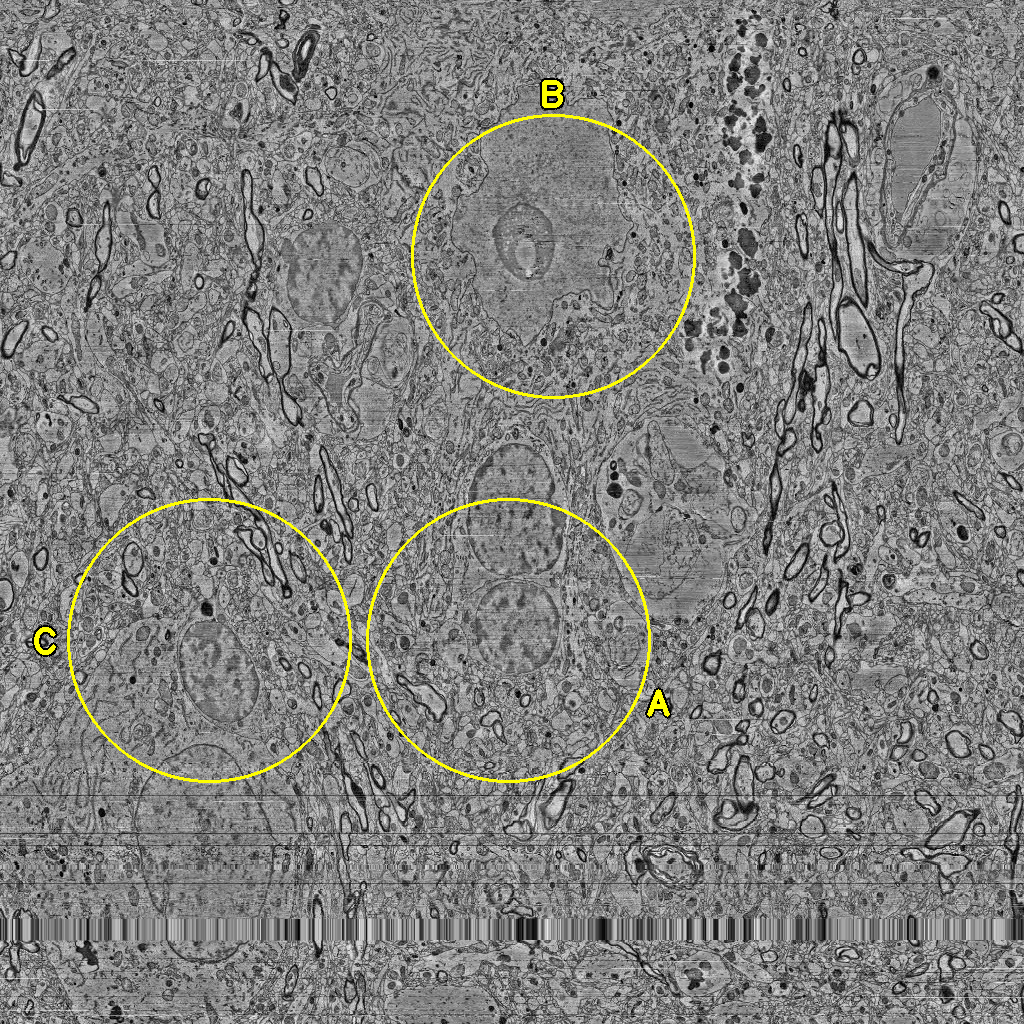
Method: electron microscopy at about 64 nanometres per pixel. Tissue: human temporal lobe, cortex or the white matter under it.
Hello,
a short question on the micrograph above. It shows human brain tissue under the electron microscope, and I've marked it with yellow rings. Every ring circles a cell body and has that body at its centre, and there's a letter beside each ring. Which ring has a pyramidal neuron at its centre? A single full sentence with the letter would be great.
The cell you asked about sits at the centre of ring B.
